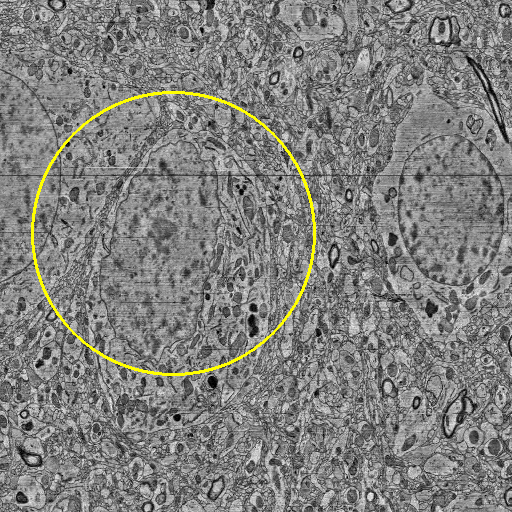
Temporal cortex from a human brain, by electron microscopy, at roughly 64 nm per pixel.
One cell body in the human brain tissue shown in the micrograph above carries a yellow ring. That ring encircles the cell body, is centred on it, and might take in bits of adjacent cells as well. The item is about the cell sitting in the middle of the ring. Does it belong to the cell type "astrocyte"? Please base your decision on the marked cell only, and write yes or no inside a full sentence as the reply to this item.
No, the cell in the centre of the yellow ring belongs to a different kind.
